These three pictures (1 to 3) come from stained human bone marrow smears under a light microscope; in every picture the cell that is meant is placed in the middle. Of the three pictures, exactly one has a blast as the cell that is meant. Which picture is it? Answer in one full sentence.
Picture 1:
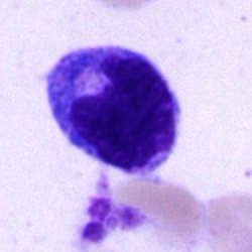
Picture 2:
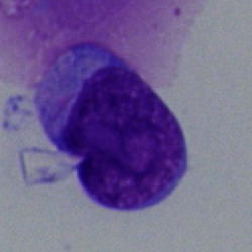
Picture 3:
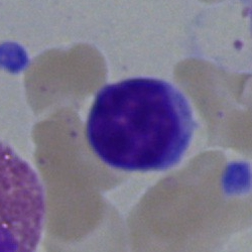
It is picture 2 that shows the blast.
